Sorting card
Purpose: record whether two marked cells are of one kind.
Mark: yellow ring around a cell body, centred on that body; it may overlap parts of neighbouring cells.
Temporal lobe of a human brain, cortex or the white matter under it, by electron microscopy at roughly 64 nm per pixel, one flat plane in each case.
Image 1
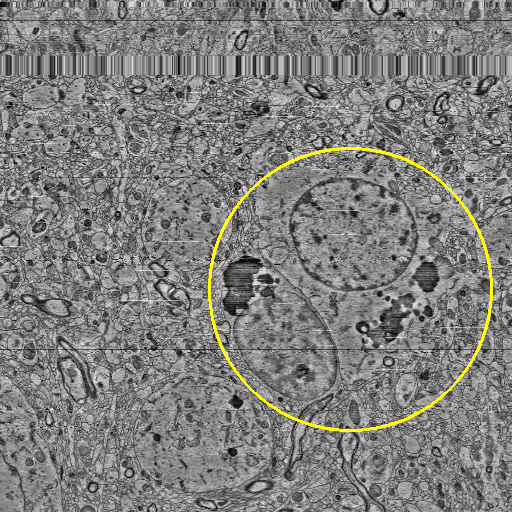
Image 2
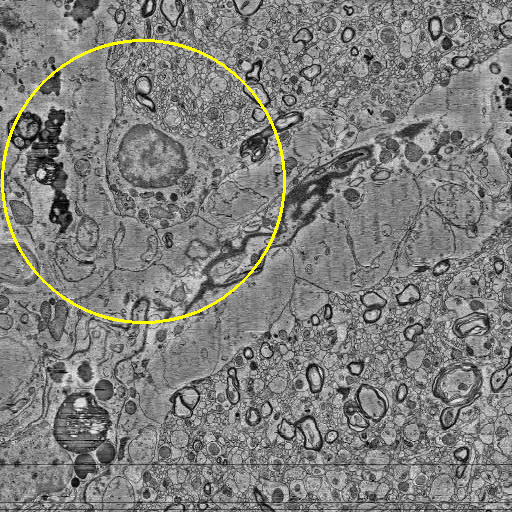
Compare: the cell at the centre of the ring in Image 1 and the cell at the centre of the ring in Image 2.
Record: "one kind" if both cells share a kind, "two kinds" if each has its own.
two kinds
